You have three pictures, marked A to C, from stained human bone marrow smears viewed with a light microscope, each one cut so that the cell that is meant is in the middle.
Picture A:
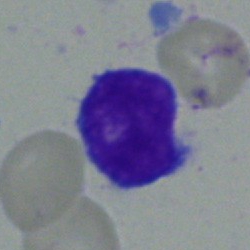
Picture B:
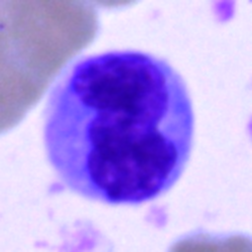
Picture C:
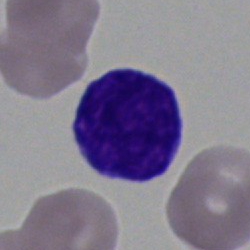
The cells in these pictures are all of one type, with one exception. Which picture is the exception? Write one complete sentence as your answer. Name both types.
Picture B differs, because its cell is a monocyte and the rest are blasts.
